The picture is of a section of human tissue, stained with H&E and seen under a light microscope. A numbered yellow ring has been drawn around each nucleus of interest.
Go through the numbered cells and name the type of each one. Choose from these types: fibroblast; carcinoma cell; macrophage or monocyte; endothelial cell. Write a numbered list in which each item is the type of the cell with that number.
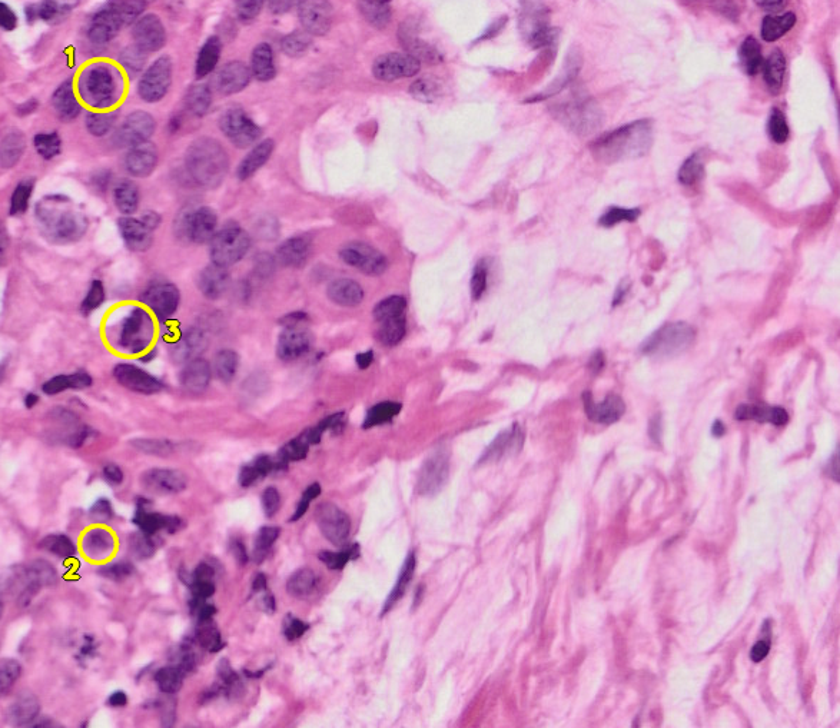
1. carcinoma cell
2. macrophage or monocyte
3. carcinoma cell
